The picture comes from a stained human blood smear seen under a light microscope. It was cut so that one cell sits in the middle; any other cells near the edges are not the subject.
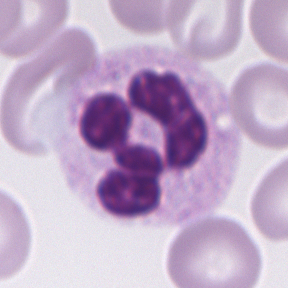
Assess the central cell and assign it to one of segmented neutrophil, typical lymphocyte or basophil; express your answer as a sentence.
As for the cell in the middle, it is a segmented neutrophil.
